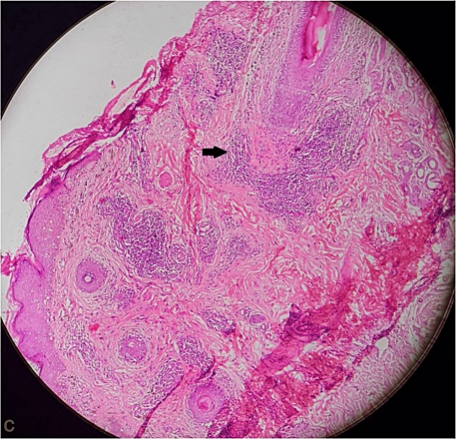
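This is a lower-power view of skin showing the epidermis at the left edge and the dermis beneath it, with several hair follicles and clusters of inflammatory cells. In the dermis, dense purple aggregates of small dark nuclei gather around follicles and small vessels, the lymphocytic infiltrate. Round cross-sections of follicles, with pink keratin centres, lie among pink collagen bundles, and some areas around follicles show paler, denser pink fibrous tissue.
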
